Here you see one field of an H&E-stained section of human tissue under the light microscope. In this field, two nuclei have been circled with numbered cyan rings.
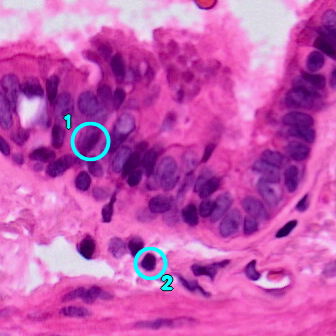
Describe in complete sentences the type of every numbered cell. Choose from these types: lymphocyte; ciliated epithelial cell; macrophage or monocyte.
Cell 1 is a ciliated epithelial cell and cell 2 is a lymphocyte.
